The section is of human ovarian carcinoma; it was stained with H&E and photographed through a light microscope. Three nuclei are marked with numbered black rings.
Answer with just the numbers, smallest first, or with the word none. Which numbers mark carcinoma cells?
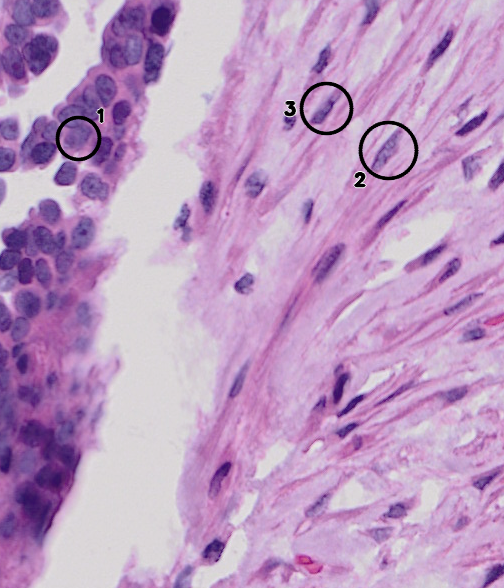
1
